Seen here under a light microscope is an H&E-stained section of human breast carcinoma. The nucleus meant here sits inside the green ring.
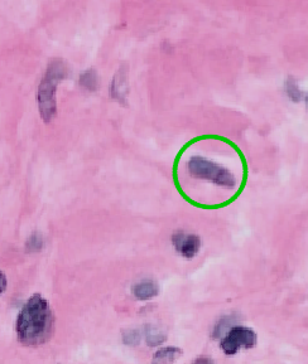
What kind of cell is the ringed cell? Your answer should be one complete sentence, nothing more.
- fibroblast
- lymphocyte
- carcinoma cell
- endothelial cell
Considered by cell type, the ringed cell is a lymphocyte.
